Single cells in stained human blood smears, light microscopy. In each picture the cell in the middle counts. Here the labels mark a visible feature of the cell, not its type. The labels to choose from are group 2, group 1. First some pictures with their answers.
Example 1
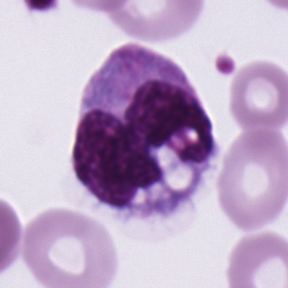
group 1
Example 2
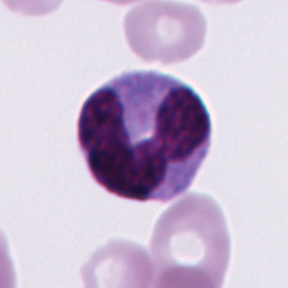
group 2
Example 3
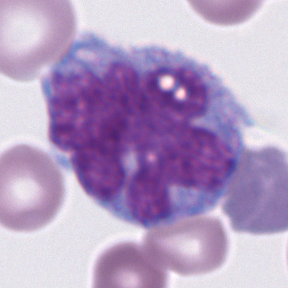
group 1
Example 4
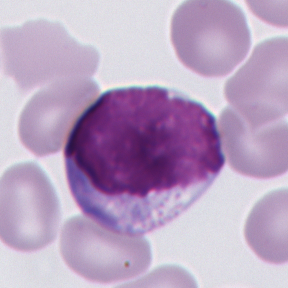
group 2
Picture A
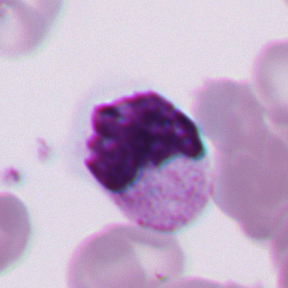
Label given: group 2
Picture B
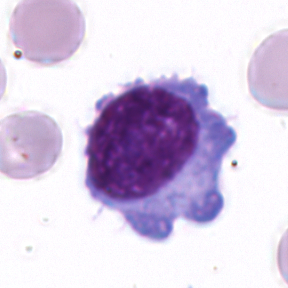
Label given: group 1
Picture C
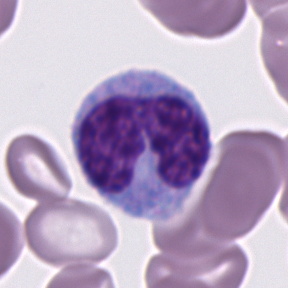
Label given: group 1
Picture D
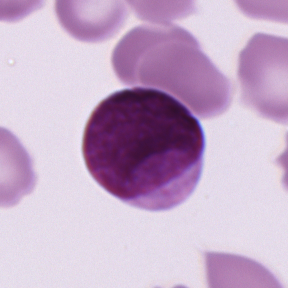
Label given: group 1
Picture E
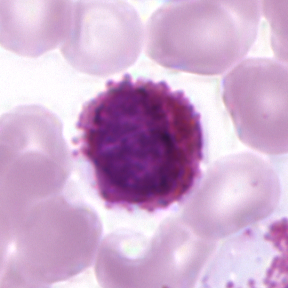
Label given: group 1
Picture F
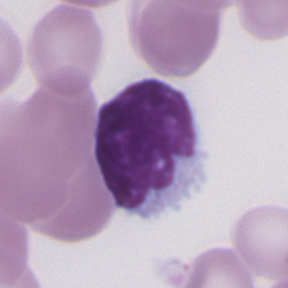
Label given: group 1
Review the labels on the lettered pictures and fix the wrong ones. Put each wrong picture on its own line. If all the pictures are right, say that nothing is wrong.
Wrong: C (group 1); correct: group 2
Wrong: D (group 1); correct: group 2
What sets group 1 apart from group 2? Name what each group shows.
Seen in group 1: ragged outline or projections; seen in group 2: smooth outline.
